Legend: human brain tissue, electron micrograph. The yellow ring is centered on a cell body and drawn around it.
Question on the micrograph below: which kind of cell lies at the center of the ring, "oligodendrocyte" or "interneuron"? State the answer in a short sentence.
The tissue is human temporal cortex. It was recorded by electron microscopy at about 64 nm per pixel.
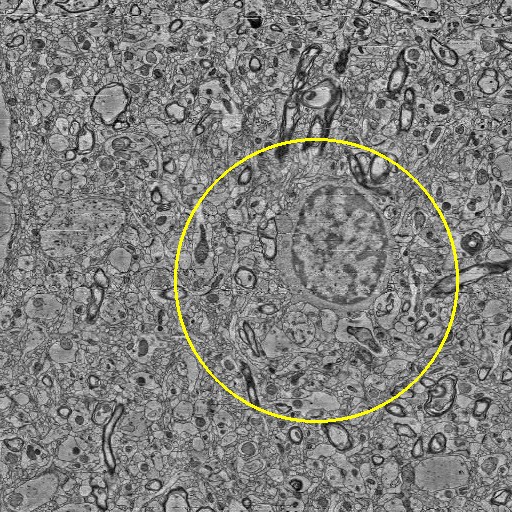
At the center of the ring lies an oligodendrocyte.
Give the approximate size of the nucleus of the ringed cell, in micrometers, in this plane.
The nucleus is approximately 8 micrometers long by 6 micrometers wide in this plane.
